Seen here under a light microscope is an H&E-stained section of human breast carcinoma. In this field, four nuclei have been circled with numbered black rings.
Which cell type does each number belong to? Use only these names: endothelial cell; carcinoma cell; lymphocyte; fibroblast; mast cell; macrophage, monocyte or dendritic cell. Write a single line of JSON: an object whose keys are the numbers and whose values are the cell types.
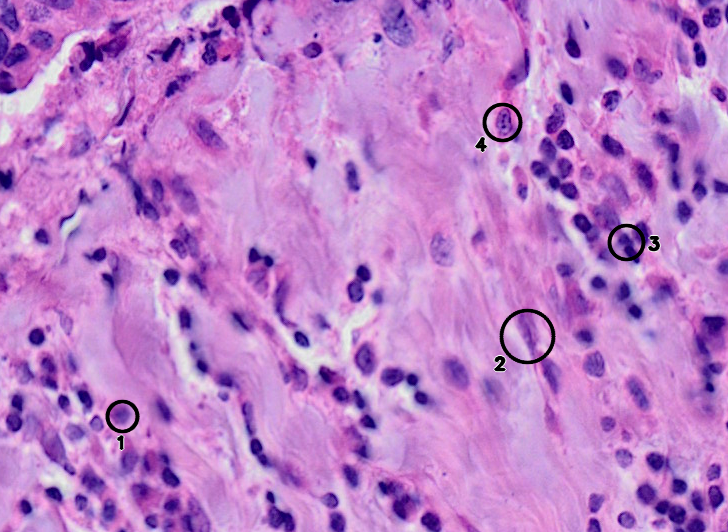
{"1": "mast cell", "2": "fibroblast", "3": "lymphocyte", "4": "mast cell"}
